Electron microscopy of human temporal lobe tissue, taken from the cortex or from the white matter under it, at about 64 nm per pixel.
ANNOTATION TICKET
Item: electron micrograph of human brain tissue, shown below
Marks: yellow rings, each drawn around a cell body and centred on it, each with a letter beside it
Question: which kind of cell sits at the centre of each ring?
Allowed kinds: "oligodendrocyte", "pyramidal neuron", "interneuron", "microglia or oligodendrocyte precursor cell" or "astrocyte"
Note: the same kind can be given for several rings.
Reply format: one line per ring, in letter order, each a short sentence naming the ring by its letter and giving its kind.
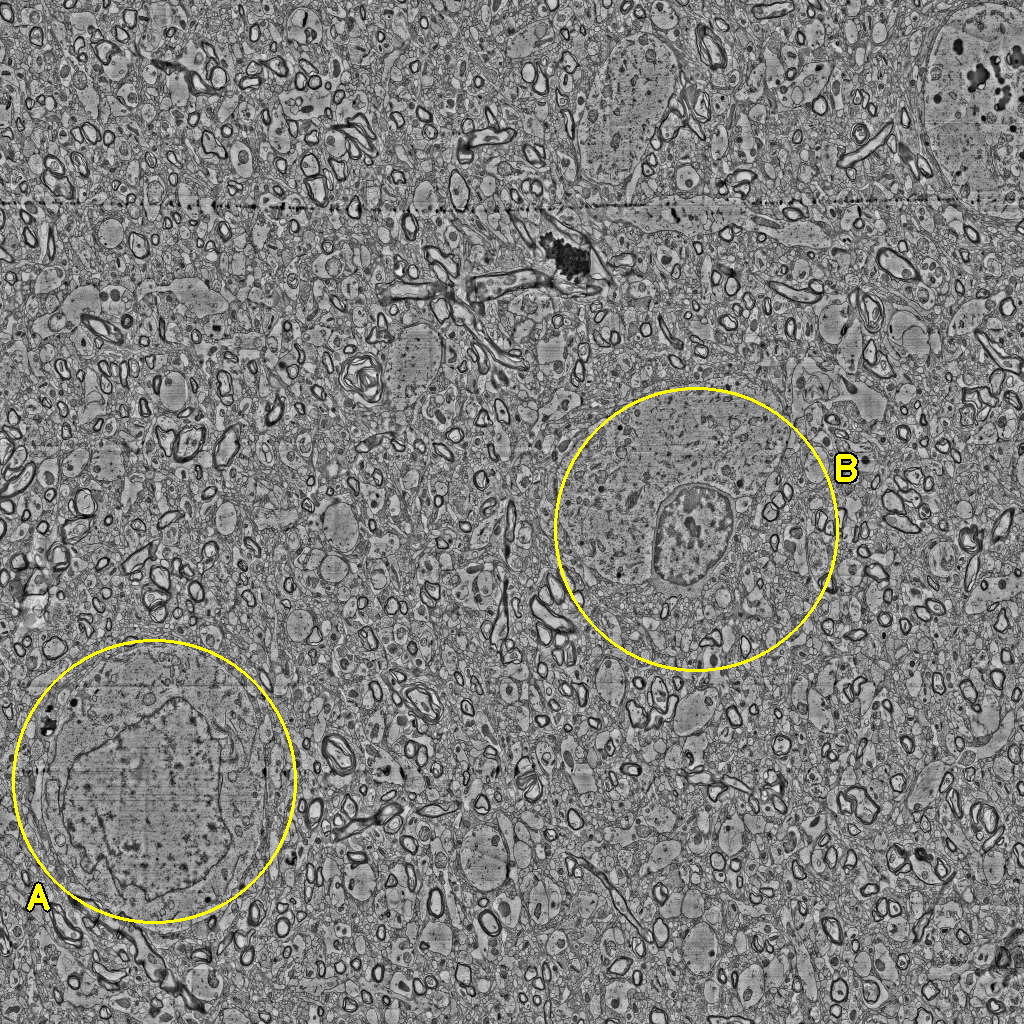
The cell at the centre of ring A is an interneuron.
The cell at the centre of ring B is an oligodendrocyte.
